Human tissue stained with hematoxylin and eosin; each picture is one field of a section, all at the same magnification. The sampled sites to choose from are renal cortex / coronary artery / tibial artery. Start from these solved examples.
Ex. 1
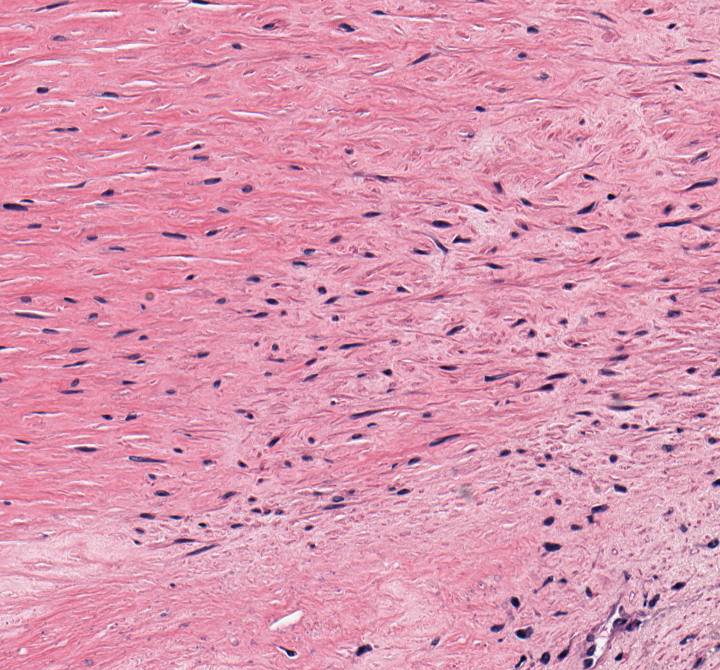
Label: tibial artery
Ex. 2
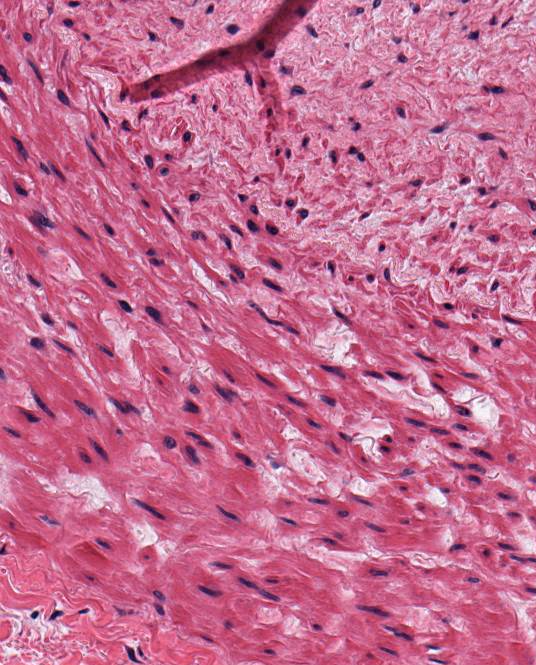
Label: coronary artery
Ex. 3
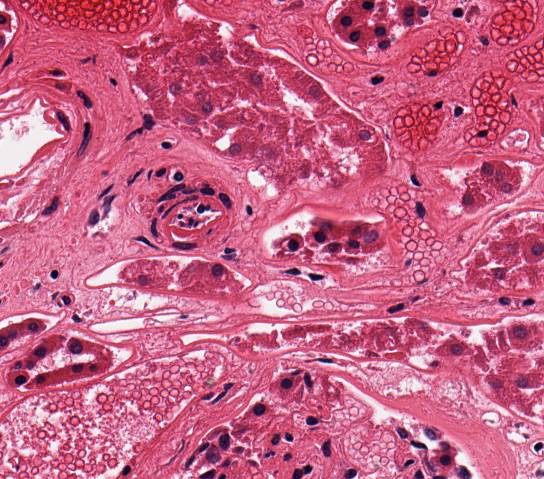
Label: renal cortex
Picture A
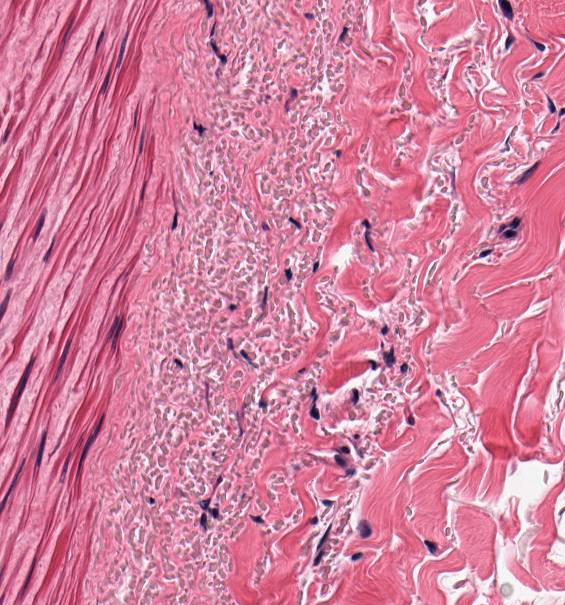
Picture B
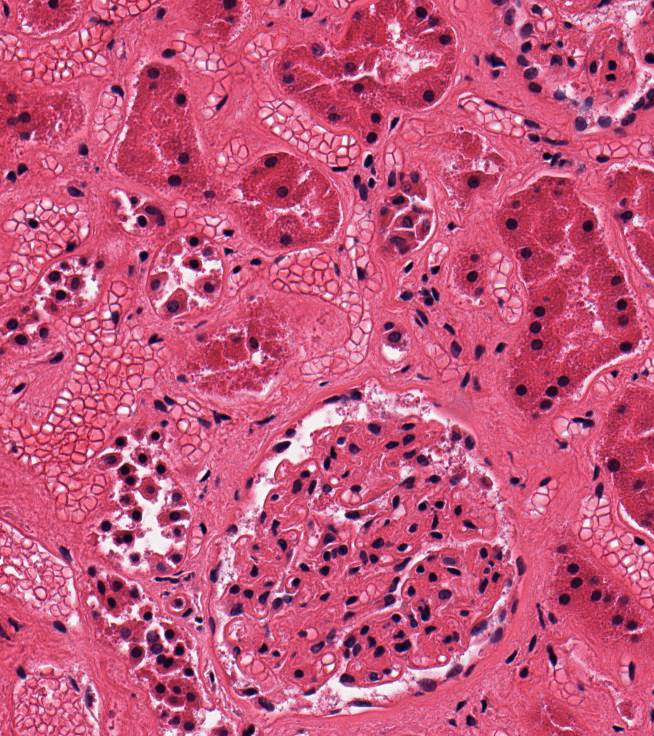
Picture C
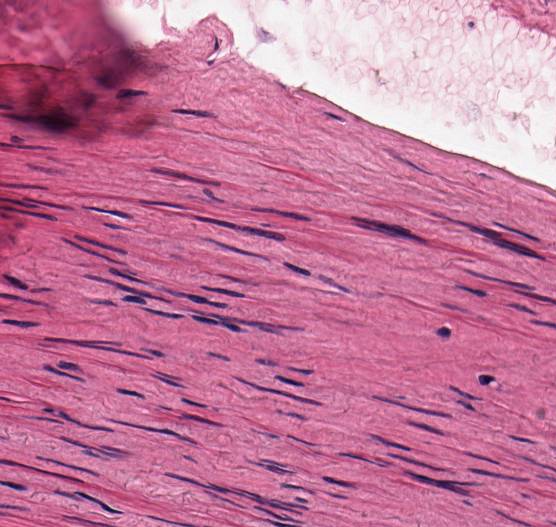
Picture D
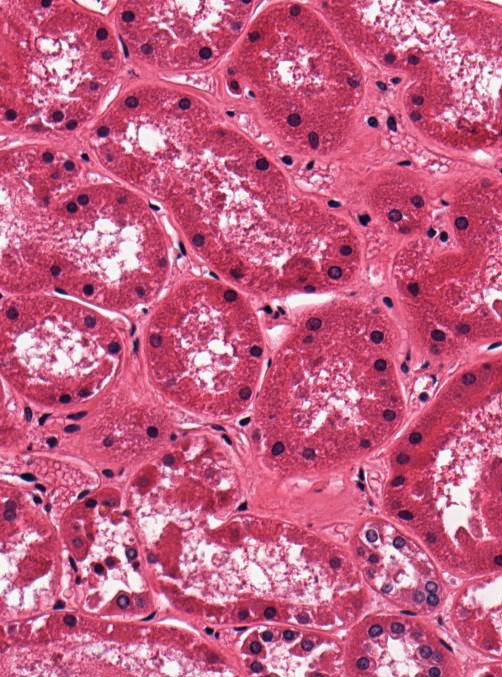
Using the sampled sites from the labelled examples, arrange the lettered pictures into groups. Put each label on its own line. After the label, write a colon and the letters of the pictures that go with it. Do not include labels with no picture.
renal cortex: B, D
tibial artery: A, C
